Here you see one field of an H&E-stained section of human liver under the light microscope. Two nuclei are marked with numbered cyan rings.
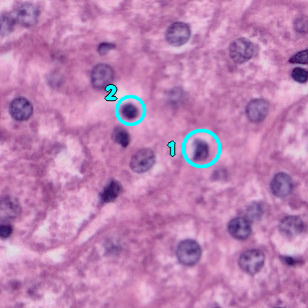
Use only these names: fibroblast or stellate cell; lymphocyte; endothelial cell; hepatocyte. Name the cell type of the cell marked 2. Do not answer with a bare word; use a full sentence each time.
It is as a lymphocyte that the cell numbered 2 is identified.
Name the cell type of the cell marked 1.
The cell marked with number 1 is an endothelial cell.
